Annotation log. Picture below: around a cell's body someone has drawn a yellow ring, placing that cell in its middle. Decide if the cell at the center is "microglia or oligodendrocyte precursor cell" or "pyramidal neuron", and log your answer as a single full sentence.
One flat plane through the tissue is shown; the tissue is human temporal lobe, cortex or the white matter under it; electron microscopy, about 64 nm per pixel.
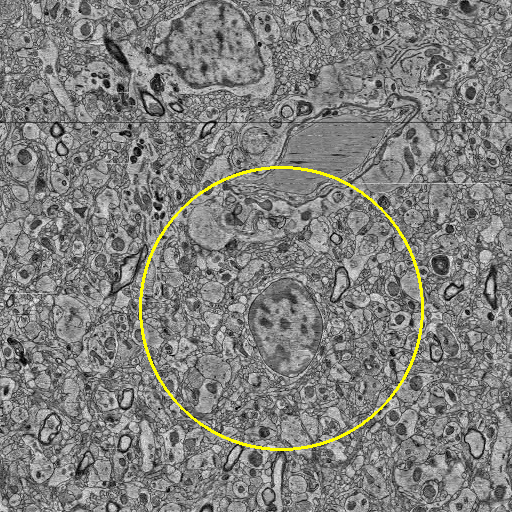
My entry records a microglial cell or oligodendrocyte precursor cell as the cell sitting at the center of the yellow ring.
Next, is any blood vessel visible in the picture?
Yes, one appears.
